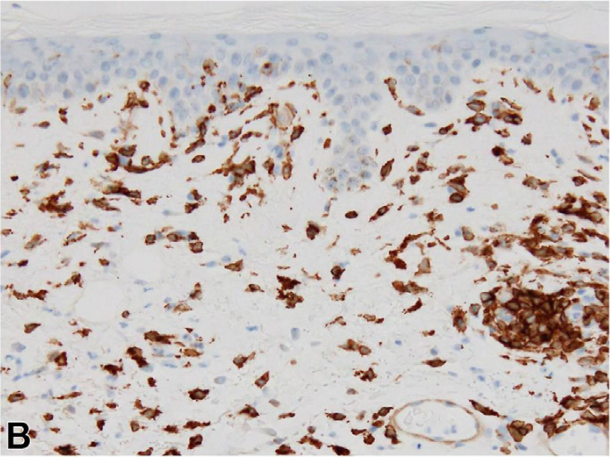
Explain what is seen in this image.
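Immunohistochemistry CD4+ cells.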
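This is skin with the epidermis along the top and dermis below, where many cells are stained brown against pale blue nuclei of the rest. The brown cells are scattered throughout the upper dermis and gather into a dense cluster at the right, while a few reach up into the lower epidermis.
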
